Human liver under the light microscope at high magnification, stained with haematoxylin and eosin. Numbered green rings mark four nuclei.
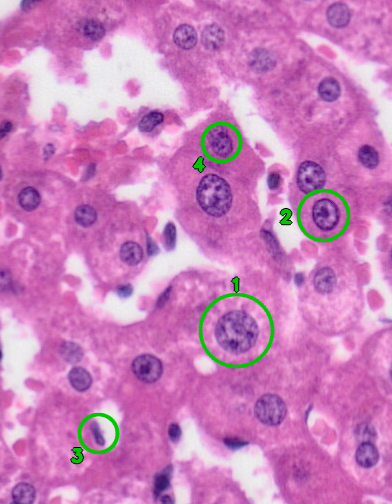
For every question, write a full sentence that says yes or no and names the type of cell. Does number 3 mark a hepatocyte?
No, the cell denoted 3 is an endothelial cell rather than a hepatocyte.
